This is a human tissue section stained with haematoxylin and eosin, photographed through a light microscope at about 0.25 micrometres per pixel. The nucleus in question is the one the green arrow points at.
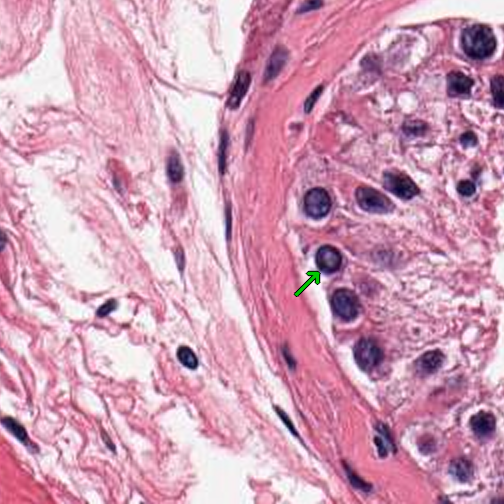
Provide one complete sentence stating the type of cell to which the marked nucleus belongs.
The marked nucleus is a nucleus of a spermatogonium.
